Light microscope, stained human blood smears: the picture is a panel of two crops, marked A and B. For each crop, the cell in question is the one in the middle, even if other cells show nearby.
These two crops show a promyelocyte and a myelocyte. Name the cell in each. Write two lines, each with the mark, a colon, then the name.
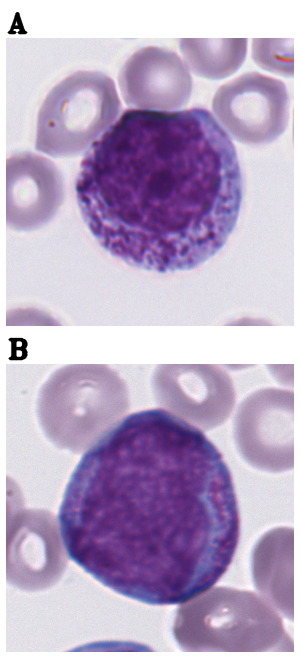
A: myelocyte
B: promyelocyte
